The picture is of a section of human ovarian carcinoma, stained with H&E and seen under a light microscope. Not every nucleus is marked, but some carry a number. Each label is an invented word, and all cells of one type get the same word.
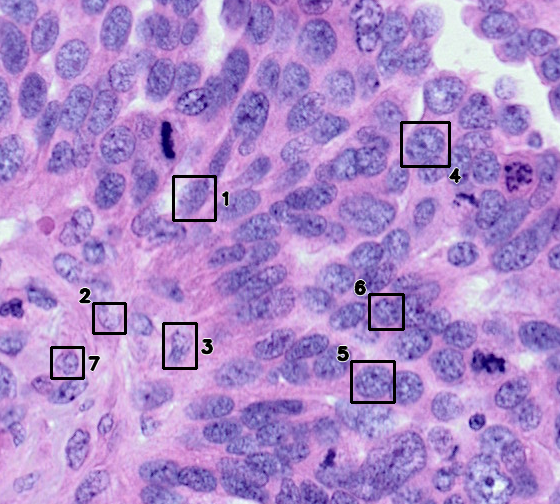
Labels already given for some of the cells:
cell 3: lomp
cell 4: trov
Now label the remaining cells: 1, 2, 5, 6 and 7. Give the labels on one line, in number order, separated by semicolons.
trov; lomp; trov; trov; lomp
